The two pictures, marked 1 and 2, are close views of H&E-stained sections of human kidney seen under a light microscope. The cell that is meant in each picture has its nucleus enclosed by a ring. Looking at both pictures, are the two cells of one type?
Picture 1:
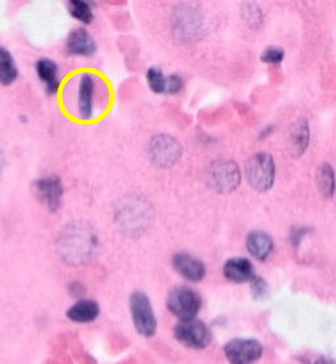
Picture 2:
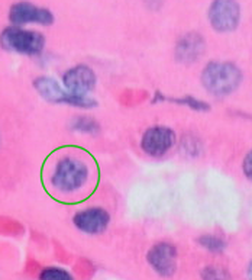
no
